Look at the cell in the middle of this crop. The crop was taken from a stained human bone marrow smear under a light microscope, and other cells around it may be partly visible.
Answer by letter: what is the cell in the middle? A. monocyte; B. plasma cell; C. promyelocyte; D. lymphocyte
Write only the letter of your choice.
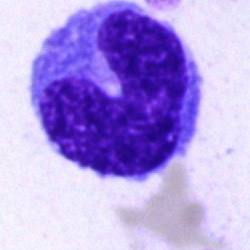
A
